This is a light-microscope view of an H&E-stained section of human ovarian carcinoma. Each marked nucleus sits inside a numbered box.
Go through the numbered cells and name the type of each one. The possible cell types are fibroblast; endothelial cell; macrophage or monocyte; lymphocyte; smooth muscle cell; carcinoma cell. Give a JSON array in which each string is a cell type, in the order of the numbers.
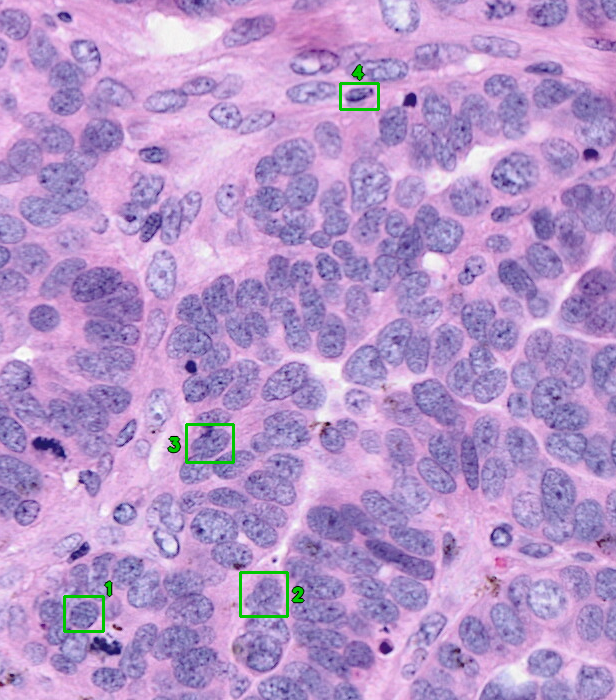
["carcinoma cell", "carcinoma cell", "carcinoma cell", "lymphocyte"]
